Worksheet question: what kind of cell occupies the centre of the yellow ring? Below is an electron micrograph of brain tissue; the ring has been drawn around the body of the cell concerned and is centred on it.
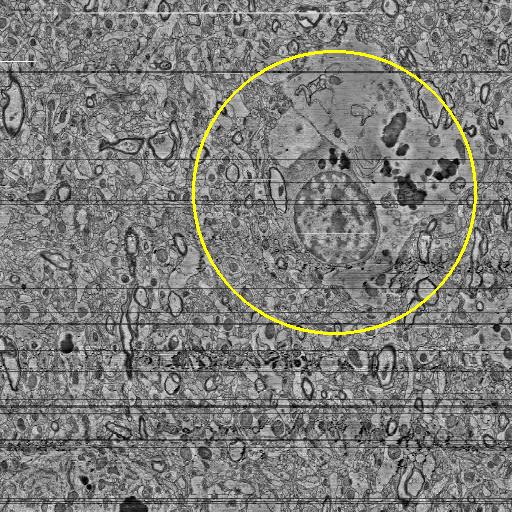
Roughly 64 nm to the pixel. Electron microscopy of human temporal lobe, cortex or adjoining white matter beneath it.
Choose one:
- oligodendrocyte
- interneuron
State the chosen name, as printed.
oligodendrocyte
